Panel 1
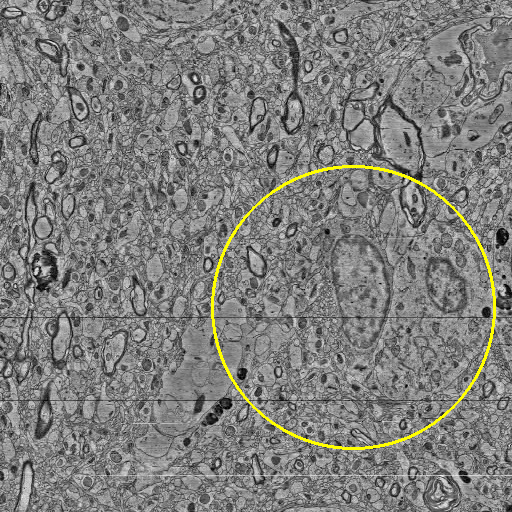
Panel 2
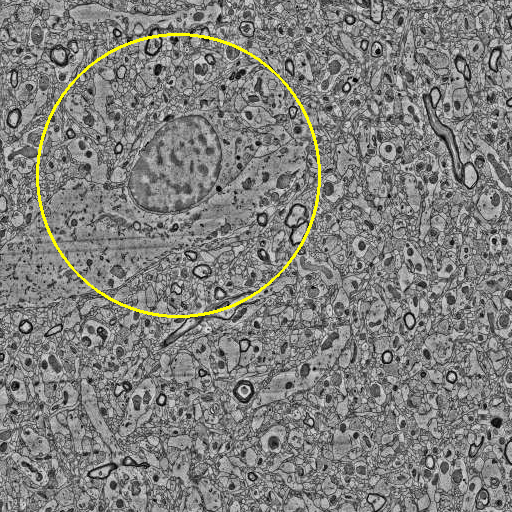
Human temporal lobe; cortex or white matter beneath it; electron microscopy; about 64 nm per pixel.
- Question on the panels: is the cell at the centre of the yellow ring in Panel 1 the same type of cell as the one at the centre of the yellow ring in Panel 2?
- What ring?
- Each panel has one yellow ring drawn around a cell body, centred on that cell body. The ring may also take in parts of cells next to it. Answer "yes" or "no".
yes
